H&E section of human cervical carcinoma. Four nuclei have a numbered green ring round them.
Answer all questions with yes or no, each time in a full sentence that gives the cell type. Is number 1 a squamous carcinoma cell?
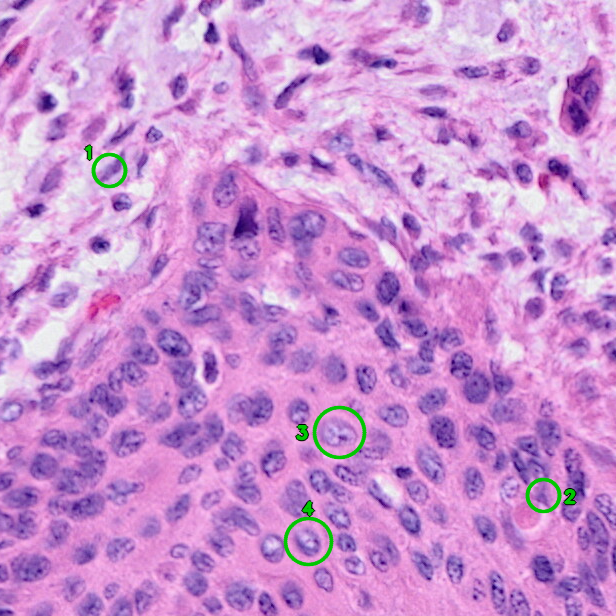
No, cell 1 is not a squamous carcinoma cell. It is a fibroblast.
